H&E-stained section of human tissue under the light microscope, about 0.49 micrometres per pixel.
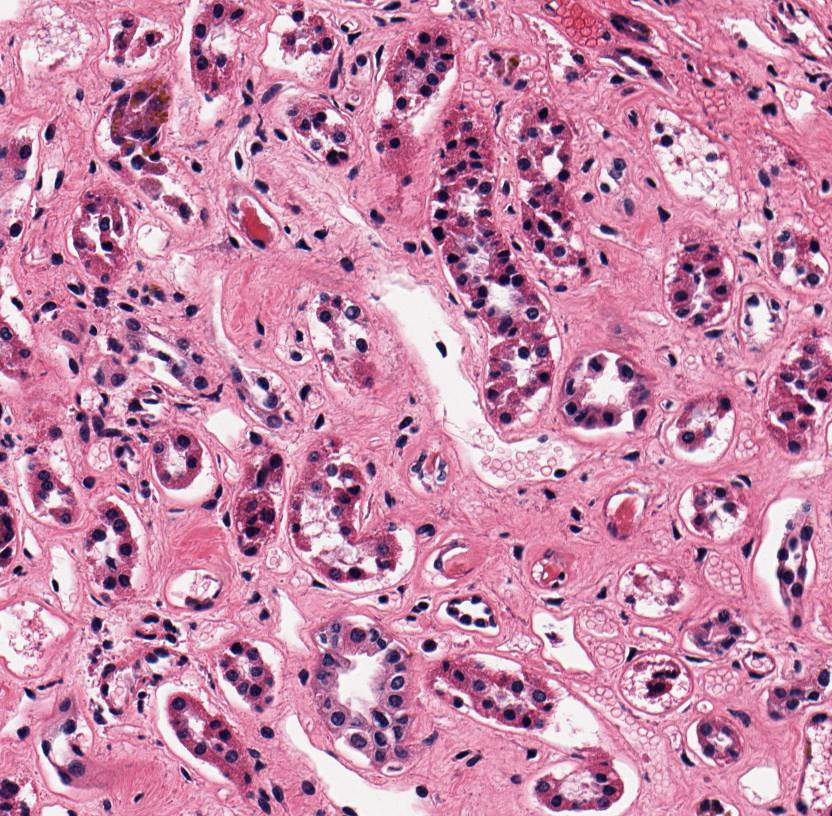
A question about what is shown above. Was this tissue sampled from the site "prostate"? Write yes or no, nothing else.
no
